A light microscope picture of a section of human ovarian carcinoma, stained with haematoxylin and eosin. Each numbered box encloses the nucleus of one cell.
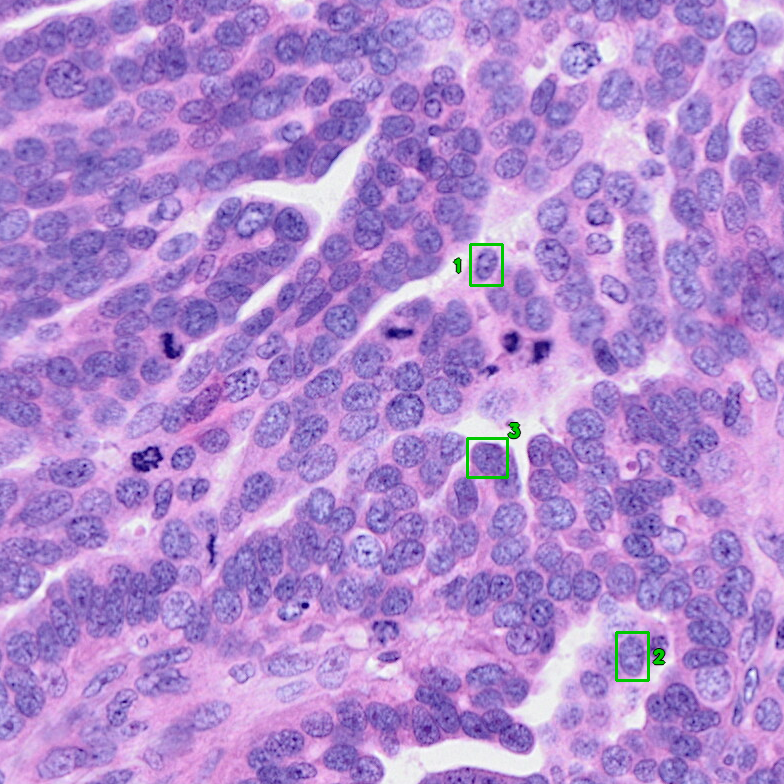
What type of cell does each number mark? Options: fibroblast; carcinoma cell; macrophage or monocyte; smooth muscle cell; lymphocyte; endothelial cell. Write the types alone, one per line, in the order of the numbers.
macrophage or monocyte
carcinoma cell
carcinoma cell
